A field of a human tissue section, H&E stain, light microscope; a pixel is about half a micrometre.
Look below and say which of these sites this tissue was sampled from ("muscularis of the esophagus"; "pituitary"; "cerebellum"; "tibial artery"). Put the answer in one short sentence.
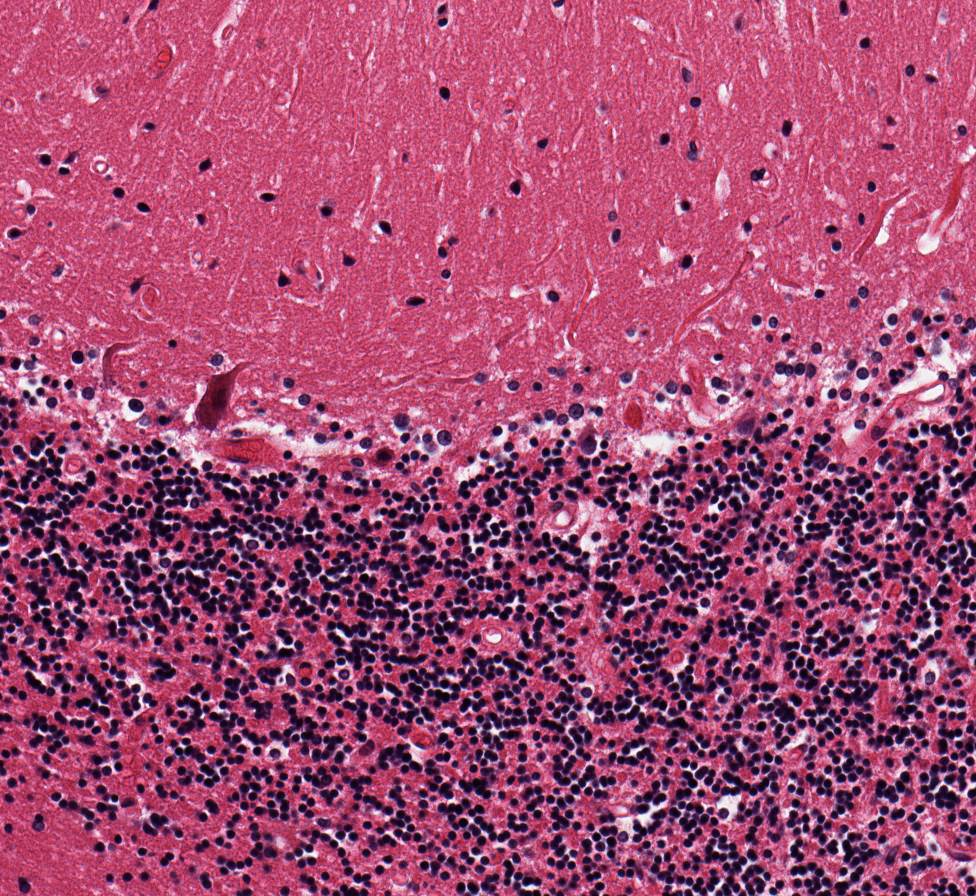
The site this tissue was sampled from is the cerebellum.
